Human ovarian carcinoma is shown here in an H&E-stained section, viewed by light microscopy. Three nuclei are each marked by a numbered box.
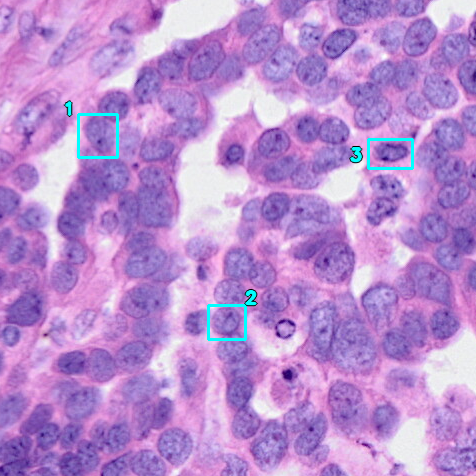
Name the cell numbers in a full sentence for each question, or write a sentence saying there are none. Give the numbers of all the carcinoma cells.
The cells identified by the numbers 1 and 2 are carcinoma cells.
